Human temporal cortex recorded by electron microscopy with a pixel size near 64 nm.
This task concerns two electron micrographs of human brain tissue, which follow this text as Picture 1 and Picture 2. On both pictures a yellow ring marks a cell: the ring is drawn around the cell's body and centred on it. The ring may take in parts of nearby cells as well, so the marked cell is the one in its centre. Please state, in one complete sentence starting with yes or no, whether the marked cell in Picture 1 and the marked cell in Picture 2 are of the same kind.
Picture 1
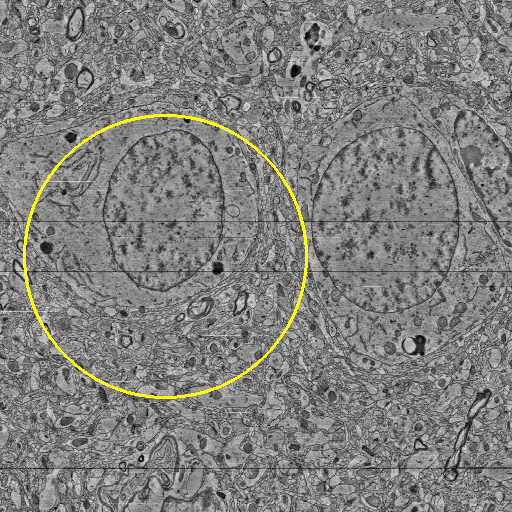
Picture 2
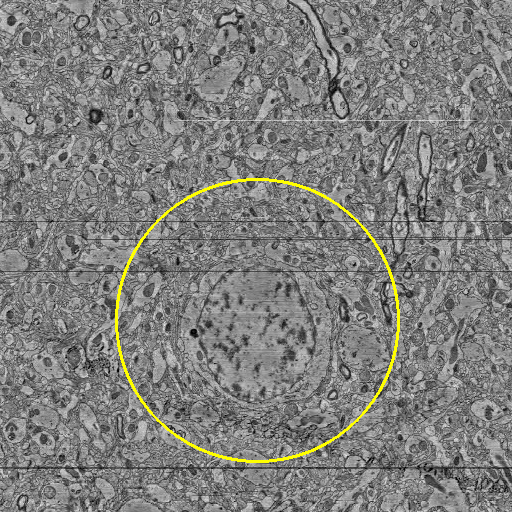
No, the marked cells in the two pictures are of two kinds.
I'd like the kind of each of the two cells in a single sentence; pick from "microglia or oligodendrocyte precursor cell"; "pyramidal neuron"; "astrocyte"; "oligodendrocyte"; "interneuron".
The first ring marks a pyramidal neuron, and the second ring marks an interneuron.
